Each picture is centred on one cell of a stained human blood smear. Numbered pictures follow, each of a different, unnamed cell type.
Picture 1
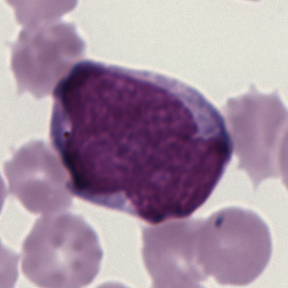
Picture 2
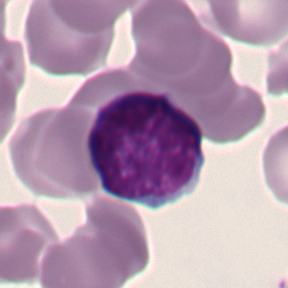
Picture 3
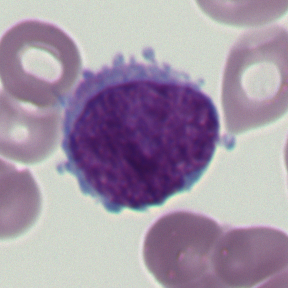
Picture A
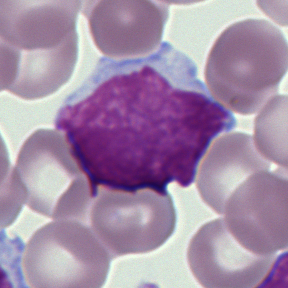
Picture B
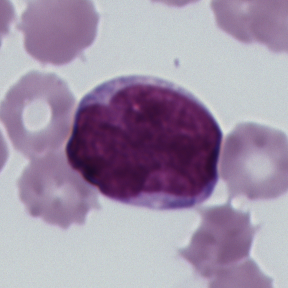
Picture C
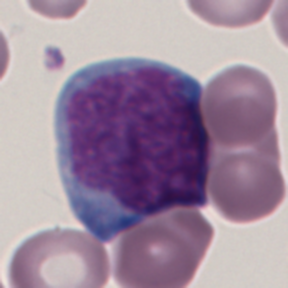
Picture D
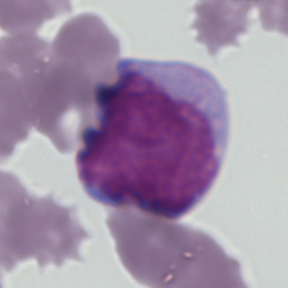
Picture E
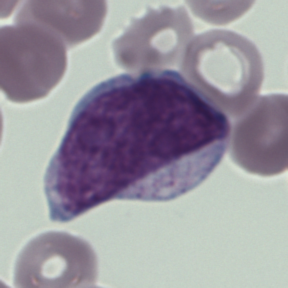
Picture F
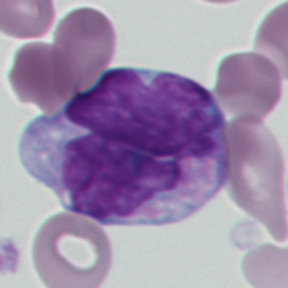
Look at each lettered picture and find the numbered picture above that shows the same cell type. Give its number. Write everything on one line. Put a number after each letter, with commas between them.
A 2, B 1, C 1, D 1, E 3, F 3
